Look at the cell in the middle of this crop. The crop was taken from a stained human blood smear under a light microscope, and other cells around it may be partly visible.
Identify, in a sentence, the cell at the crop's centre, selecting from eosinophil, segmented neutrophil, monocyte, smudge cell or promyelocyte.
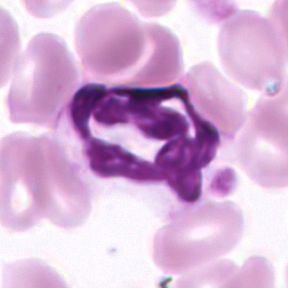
This particular crop is centered on a segmented neutrophil.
